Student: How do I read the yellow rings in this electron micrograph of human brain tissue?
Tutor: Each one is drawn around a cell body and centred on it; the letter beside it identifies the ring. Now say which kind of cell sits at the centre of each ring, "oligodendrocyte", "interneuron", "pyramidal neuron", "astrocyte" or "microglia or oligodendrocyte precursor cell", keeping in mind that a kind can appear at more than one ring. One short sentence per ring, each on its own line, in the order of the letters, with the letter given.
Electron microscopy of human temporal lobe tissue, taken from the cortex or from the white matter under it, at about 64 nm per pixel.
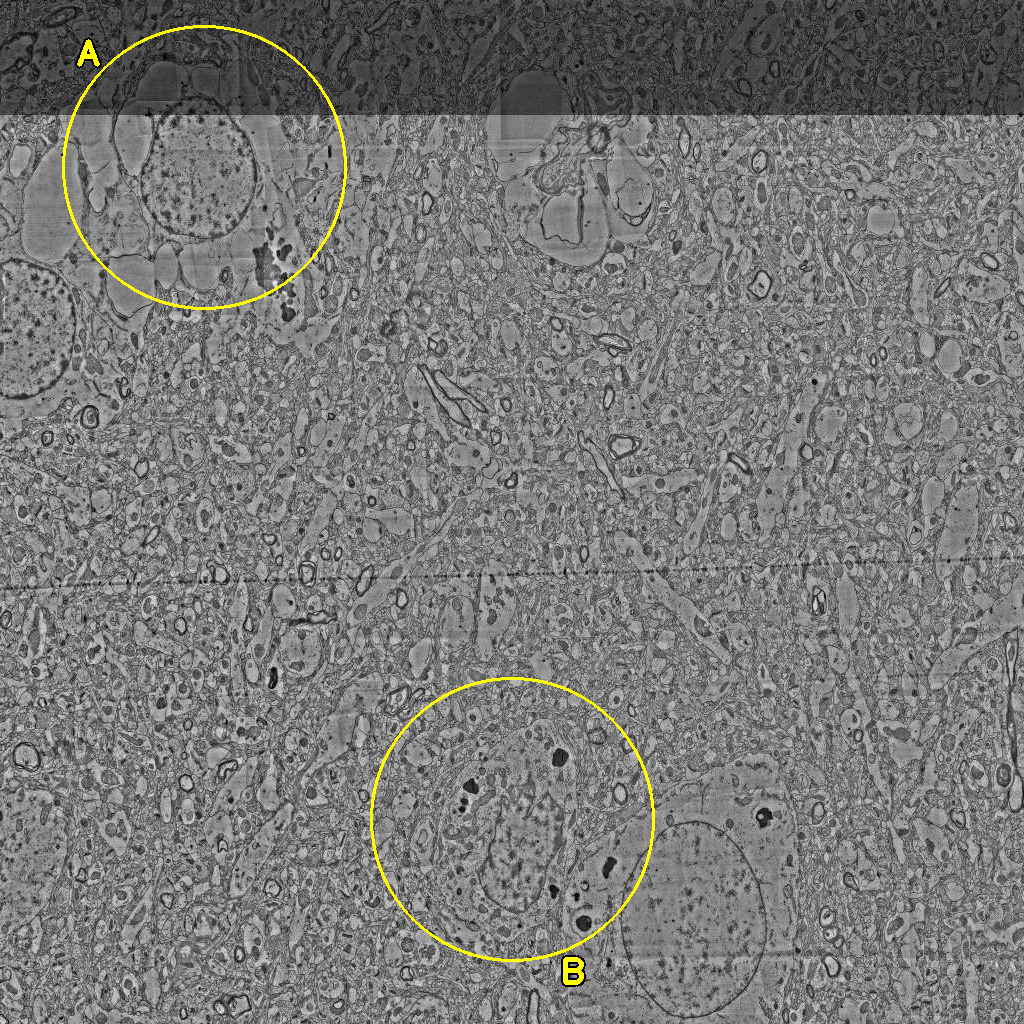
In the centre of ring A is an astrocyte.
In the centre of ring B is an interneuron.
